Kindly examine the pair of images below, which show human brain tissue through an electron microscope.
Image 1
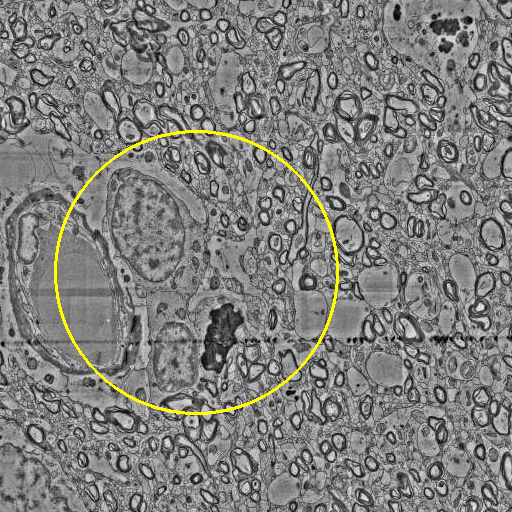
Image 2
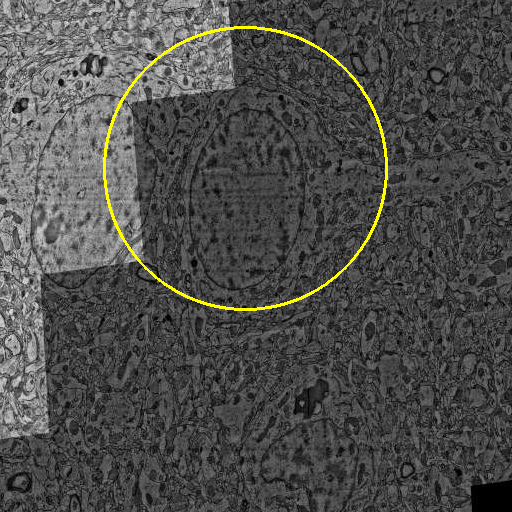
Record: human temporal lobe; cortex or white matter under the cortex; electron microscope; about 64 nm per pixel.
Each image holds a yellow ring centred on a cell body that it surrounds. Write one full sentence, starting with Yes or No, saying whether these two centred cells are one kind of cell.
No, the cells at the centres of the yellow rings belong to two kinds of cell.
